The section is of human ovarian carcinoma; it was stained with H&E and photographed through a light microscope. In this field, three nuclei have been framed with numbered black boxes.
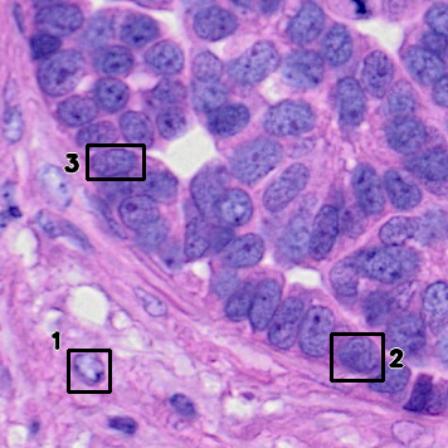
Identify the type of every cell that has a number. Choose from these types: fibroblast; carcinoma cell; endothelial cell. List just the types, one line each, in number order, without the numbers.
fibroblast
carcinoma cell
carcinoma cell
